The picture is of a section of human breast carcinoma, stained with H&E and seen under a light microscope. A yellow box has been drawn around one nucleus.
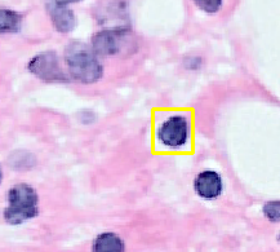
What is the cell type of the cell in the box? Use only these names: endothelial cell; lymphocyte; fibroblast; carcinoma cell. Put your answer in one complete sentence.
In the tissue at hand, the cell in the box is a lymphocyte.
